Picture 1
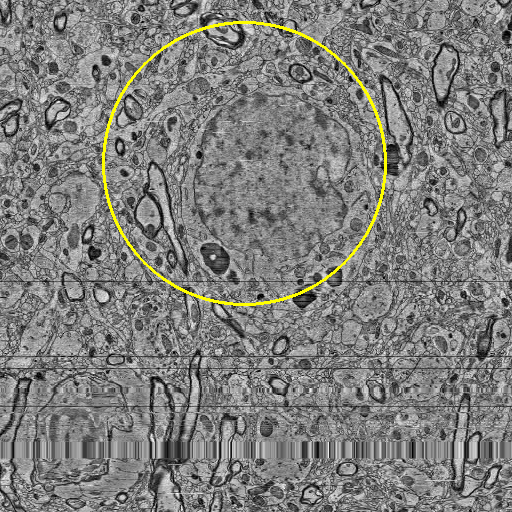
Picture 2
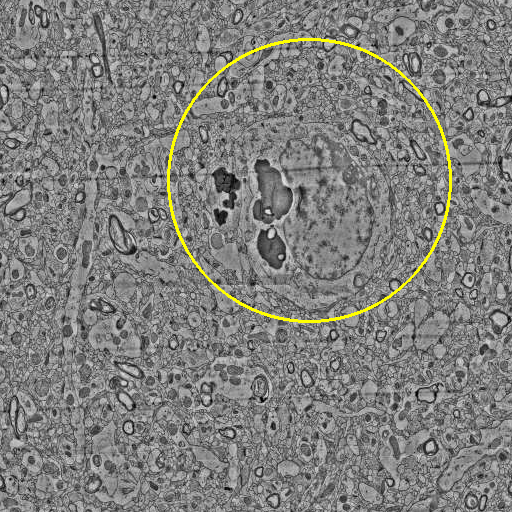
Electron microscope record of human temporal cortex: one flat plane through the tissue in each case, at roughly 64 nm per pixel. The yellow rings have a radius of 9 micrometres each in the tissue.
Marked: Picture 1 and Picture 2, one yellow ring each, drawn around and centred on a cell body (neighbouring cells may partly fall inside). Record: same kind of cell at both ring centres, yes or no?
yes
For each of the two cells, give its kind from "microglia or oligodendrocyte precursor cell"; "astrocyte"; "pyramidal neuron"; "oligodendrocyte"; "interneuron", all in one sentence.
In each picture the ringed cell is an interneuron.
